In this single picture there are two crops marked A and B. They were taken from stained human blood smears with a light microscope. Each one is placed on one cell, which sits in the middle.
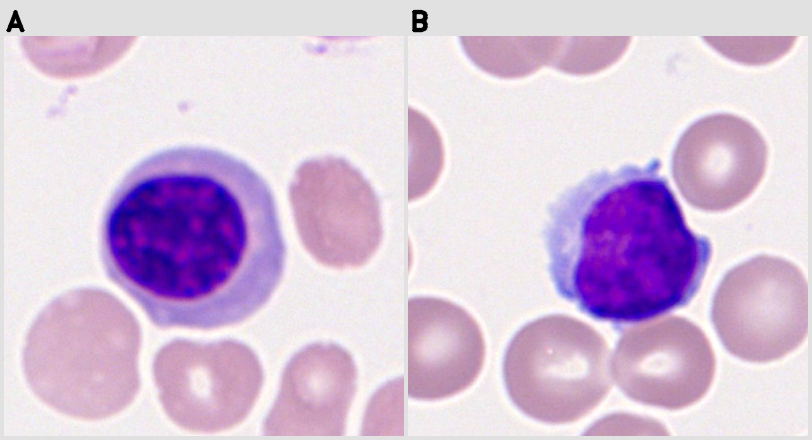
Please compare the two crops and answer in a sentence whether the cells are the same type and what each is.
Yes, that holds, both crops show lymphocytes.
